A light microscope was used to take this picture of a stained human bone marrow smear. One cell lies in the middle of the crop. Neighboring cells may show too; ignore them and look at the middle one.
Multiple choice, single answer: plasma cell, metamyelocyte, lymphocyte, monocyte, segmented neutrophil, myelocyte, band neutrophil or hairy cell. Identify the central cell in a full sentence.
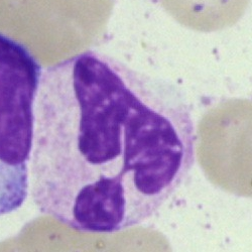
The cell featured at the centre of this crop is a segmented neutrophil.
